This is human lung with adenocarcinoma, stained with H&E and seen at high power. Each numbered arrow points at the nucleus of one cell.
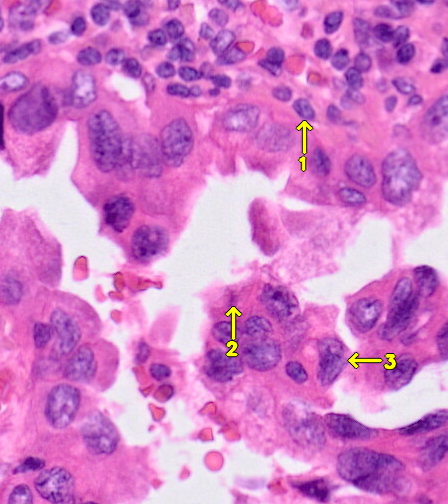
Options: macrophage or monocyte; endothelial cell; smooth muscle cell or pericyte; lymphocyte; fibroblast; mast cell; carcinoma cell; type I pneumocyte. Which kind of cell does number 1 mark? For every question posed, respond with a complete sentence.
The nucleus labeled 1 belongs to a lymphocyte.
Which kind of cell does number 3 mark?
The cell referenced by the number 3 is a carcinoma cell in this field.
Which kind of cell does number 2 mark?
Within this field of view, the cell labelled 2 is a carcinoma cell.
